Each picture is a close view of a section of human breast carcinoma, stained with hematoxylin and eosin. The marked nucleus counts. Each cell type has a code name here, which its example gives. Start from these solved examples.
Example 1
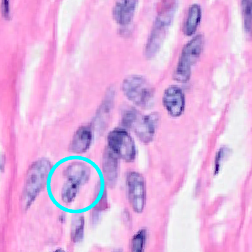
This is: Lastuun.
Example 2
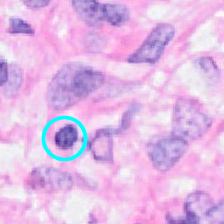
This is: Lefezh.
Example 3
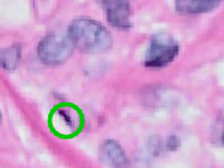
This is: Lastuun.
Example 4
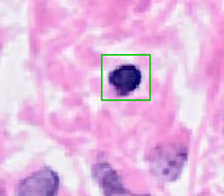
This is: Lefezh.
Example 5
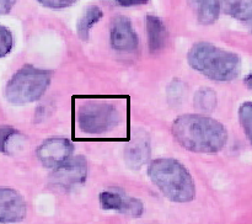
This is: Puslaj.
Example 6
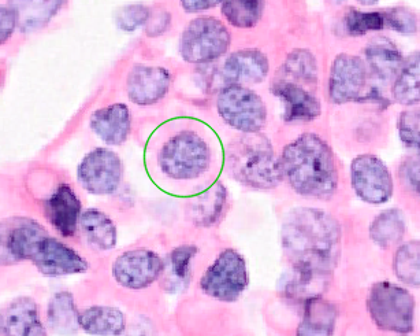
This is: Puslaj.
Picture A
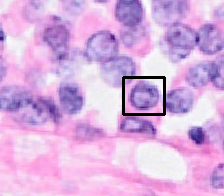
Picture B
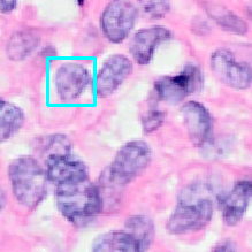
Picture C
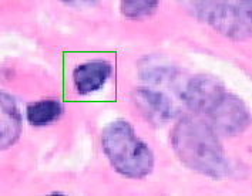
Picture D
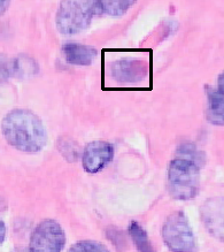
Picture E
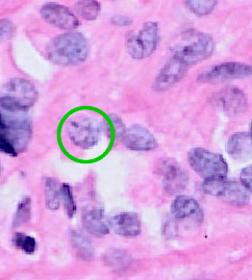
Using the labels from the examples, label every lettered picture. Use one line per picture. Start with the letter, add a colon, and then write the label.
A: Puslaj.
B: Puslaj.
C: Lefezh.
D: Lastuun.
E: Puslaj.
